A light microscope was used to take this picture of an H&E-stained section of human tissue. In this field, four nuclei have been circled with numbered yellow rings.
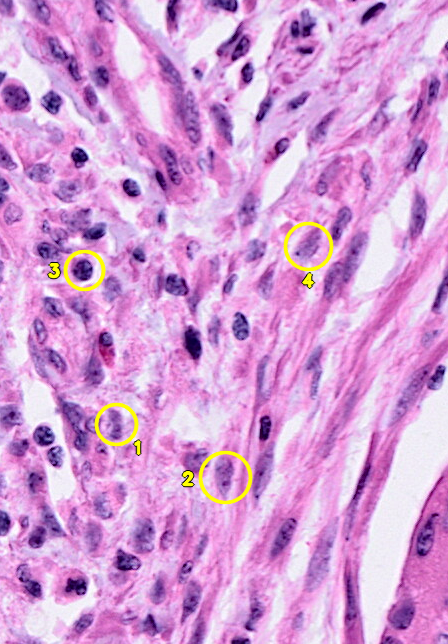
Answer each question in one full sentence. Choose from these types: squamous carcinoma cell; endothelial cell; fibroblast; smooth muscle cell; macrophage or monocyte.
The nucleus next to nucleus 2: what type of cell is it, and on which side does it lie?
A macrophage or monocyte lies closest, above and to the left of nucleus 2.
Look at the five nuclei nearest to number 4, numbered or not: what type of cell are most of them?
Fibroblasts make up most of the five nuclei closest to number 4.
